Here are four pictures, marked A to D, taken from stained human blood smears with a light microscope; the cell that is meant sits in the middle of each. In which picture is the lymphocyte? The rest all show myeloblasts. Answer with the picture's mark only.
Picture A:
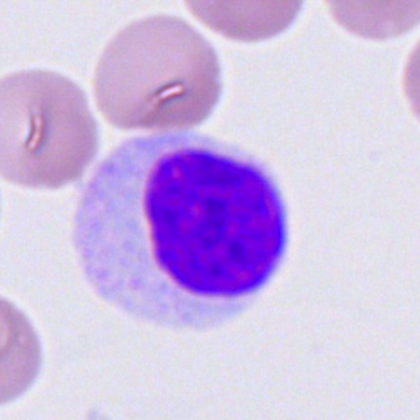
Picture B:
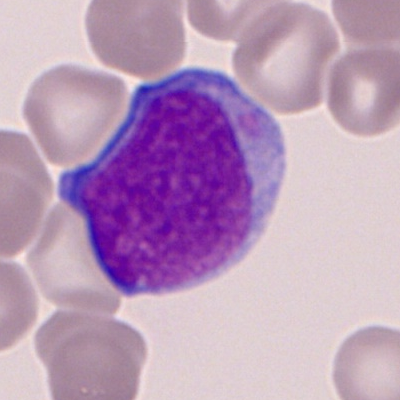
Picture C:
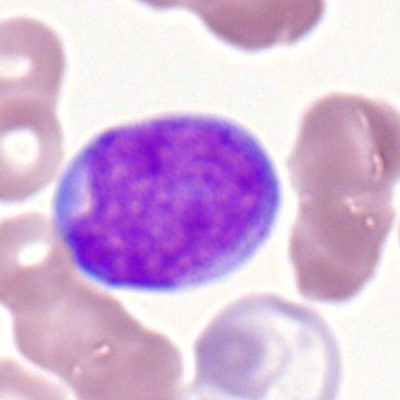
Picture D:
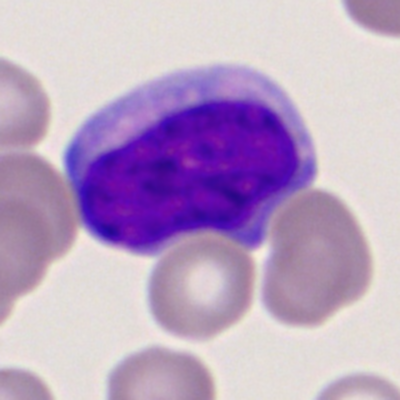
A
